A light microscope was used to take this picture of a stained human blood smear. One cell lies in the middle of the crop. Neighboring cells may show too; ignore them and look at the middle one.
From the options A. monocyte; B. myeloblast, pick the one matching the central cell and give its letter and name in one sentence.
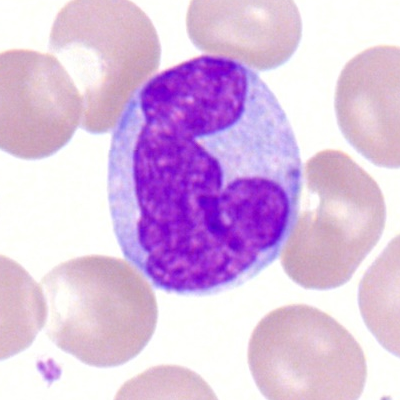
The cell shown centrally is a monocyte; option A is the correct option.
